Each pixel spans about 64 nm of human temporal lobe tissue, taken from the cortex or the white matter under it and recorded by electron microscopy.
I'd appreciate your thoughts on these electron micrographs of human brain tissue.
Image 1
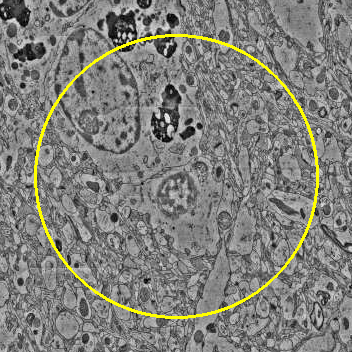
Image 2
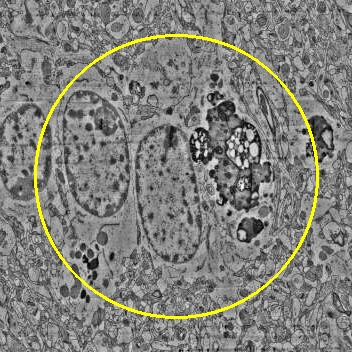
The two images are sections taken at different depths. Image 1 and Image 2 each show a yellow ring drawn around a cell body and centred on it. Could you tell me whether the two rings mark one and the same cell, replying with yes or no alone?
no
